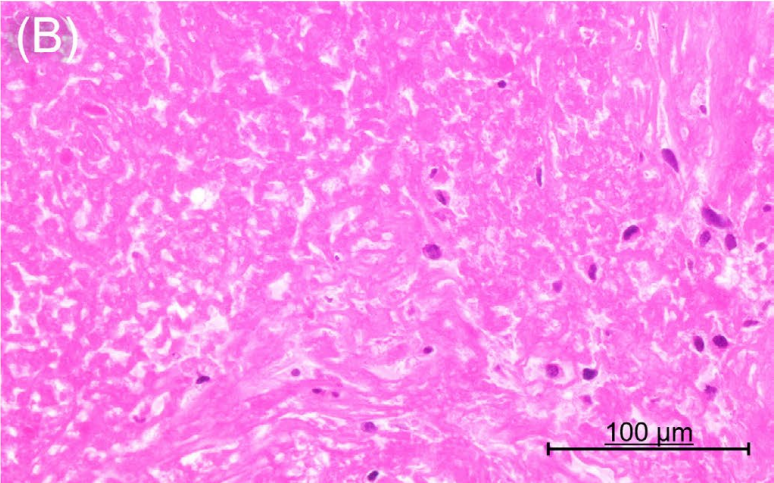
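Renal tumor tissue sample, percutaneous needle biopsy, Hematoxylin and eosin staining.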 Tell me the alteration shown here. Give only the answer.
Extensive necrotic tissue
